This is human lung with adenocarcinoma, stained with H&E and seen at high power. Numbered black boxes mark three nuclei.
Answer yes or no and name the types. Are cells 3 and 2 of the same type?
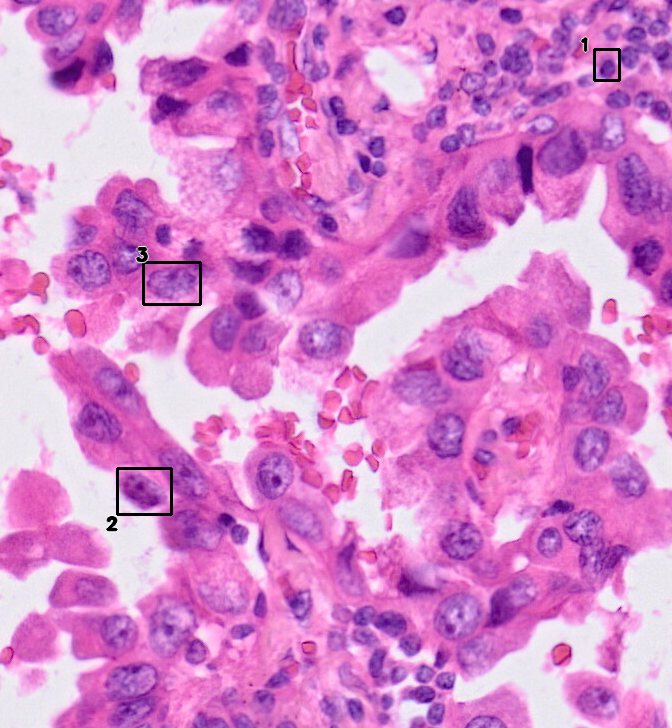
Yes, the pair of cells 3 and 2 are both carcinoma cells.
